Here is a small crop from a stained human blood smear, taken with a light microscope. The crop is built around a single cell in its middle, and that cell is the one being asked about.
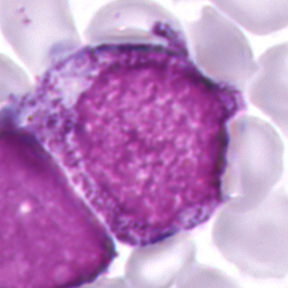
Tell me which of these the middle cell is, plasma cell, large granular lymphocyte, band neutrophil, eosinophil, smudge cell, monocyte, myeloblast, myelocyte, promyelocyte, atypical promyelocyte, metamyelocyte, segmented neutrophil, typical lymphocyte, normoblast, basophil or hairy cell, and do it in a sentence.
The central cell shown in this smear crop is a myelocyte.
